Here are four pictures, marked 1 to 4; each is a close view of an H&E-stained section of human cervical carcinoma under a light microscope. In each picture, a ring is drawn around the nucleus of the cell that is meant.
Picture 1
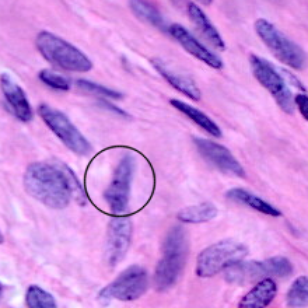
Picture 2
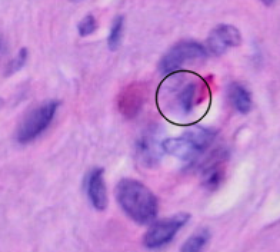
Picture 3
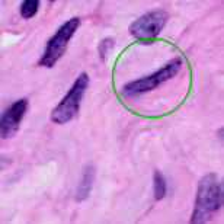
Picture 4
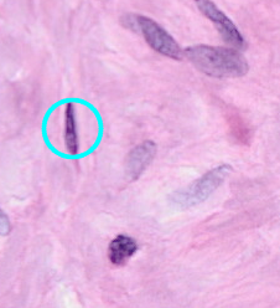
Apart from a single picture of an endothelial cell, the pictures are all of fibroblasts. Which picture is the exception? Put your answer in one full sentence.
The endothelial cell is the one in picture 2.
